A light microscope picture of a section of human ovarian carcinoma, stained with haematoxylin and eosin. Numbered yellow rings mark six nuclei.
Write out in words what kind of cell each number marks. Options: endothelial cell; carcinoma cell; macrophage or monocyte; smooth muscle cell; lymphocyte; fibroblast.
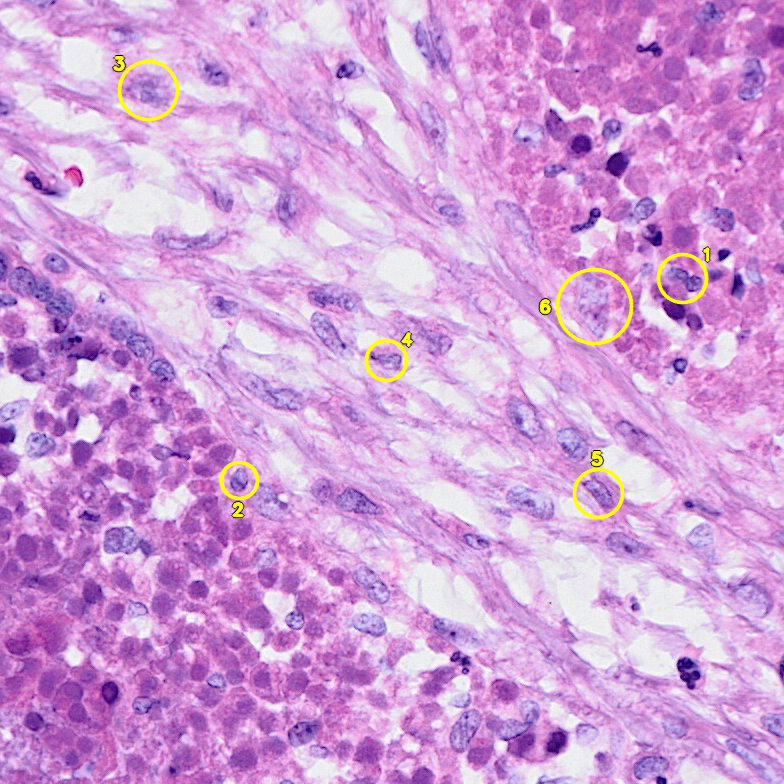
Cell 1 is a macrophage or monocyte, cell 2 is a macrophage or monocyte, cell 3 is a fibroblast, cell 4 is a fibroblast, cell 5 is a fibroblast and cell 6 is a fibroblast.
